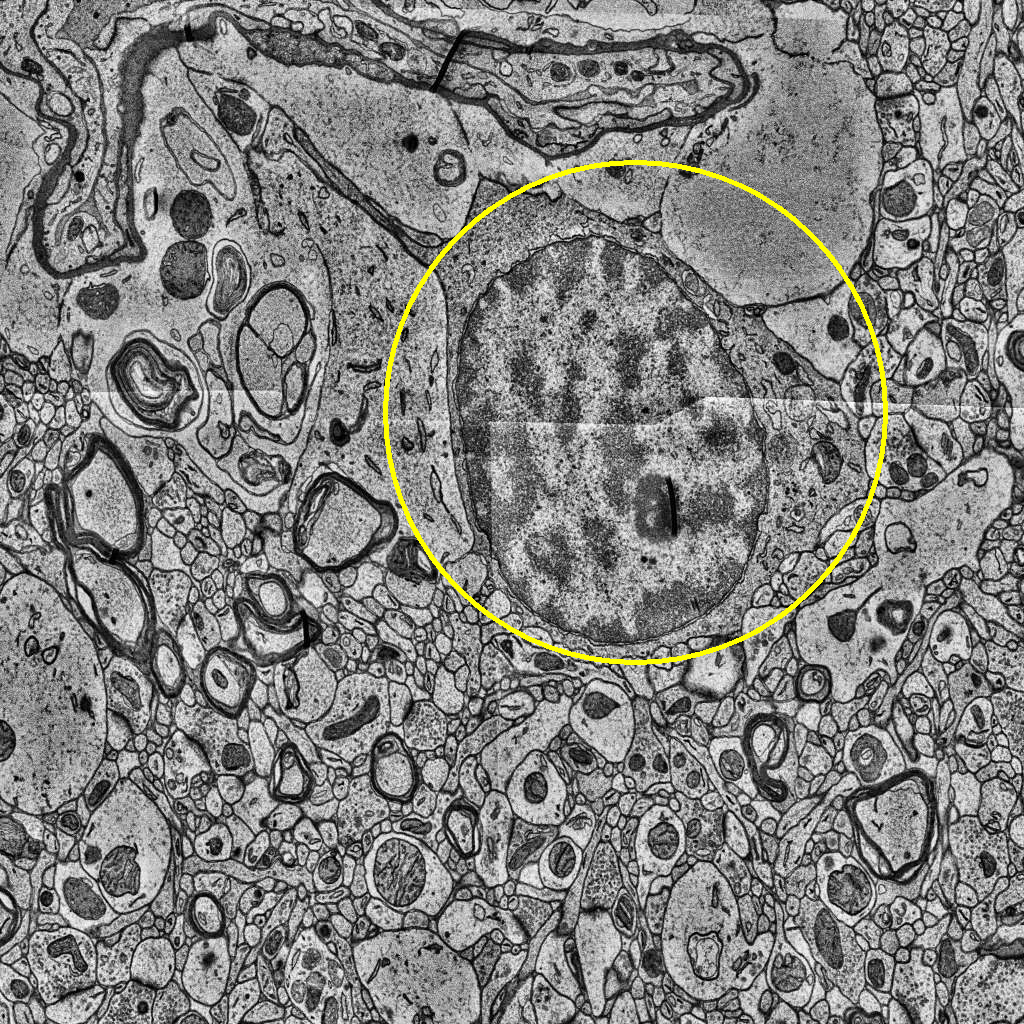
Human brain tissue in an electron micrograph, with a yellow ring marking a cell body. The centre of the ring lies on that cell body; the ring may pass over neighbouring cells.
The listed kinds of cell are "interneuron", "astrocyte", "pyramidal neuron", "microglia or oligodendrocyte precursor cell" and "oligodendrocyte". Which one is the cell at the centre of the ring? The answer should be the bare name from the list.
oligodendrocyte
